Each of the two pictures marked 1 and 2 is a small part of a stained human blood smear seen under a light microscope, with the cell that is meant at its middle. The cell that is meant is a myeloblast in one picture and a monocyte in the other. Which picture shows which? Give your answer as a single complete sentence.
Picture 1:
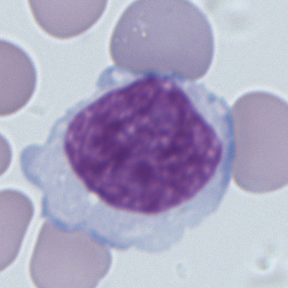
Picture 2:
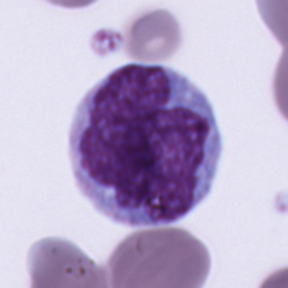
The cell in picture 1 is a myeloblast, and the one in picture 2 is a monocyte.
